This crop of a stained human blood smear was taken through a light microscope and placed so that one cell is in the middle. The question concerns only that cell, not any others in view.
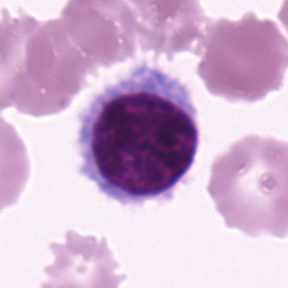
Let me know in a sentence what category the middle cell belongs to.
The cell occupying the middle of the crop is a hairy cell.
